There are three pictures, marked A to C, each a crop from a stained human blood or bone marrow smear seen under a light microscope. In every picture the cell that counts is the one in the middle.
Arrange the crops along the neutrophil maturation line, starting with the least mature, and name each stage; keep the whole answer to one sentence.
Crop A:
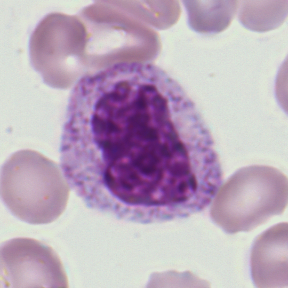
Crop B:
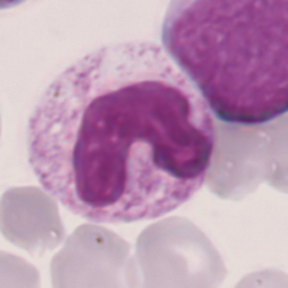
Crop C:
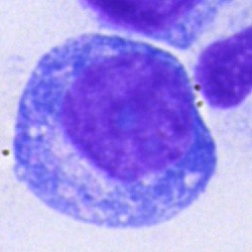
In order from least mature to most mature, the crops stand crop C (a promyelocyte), crop A (a metamyelocyte) and crop B (a band neutrophil).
